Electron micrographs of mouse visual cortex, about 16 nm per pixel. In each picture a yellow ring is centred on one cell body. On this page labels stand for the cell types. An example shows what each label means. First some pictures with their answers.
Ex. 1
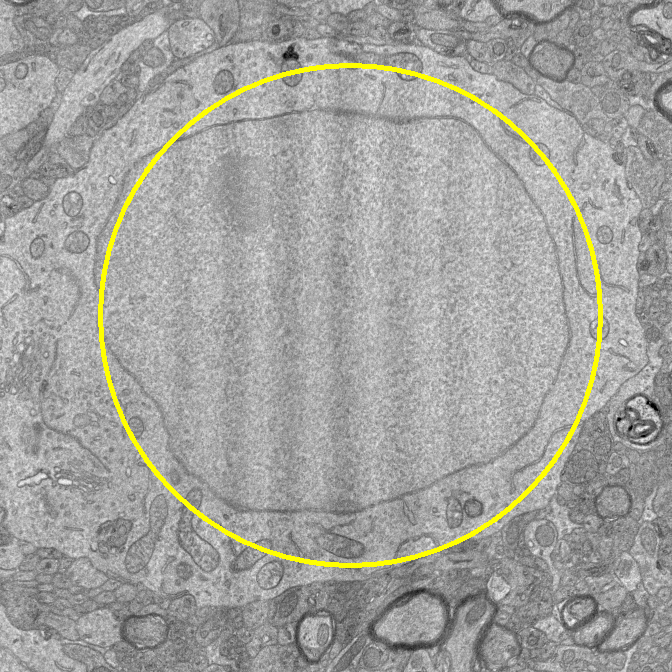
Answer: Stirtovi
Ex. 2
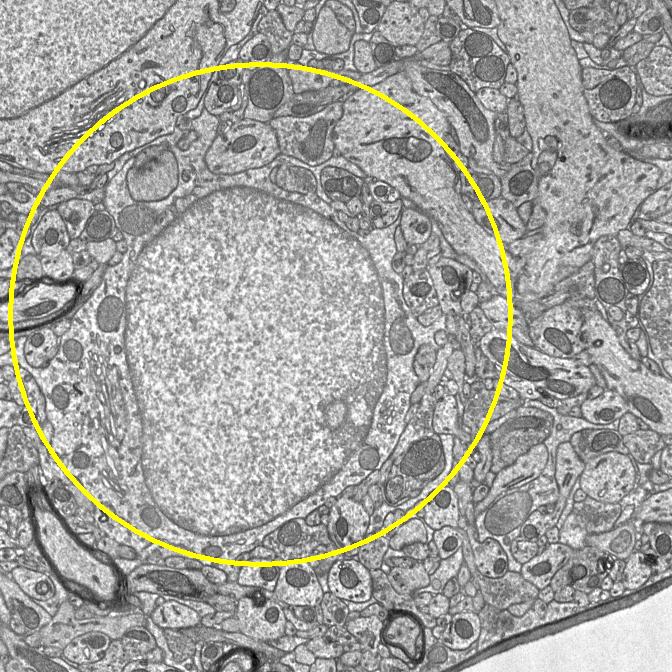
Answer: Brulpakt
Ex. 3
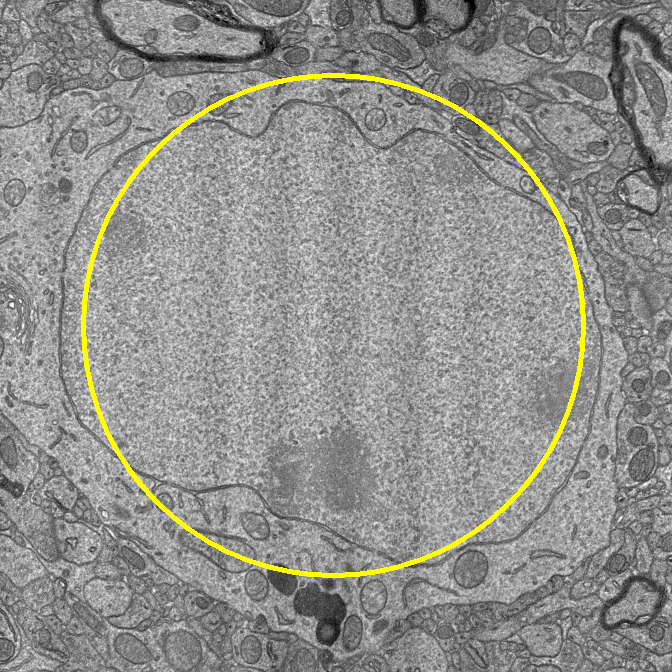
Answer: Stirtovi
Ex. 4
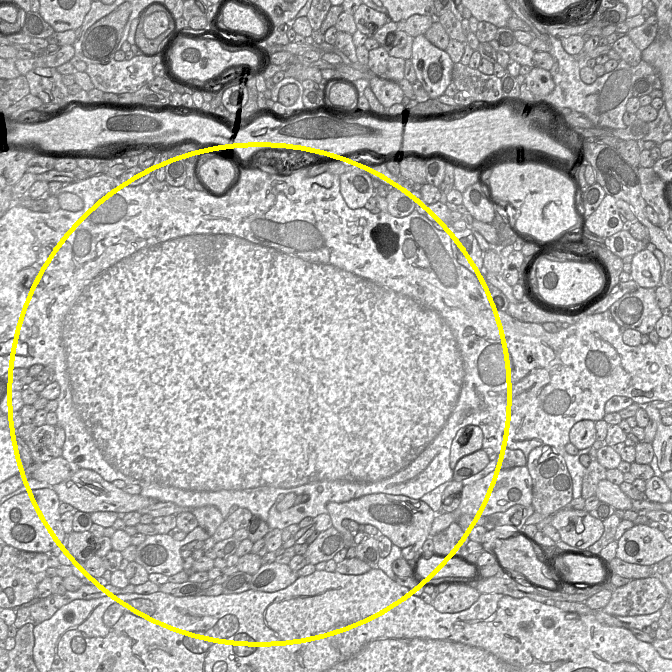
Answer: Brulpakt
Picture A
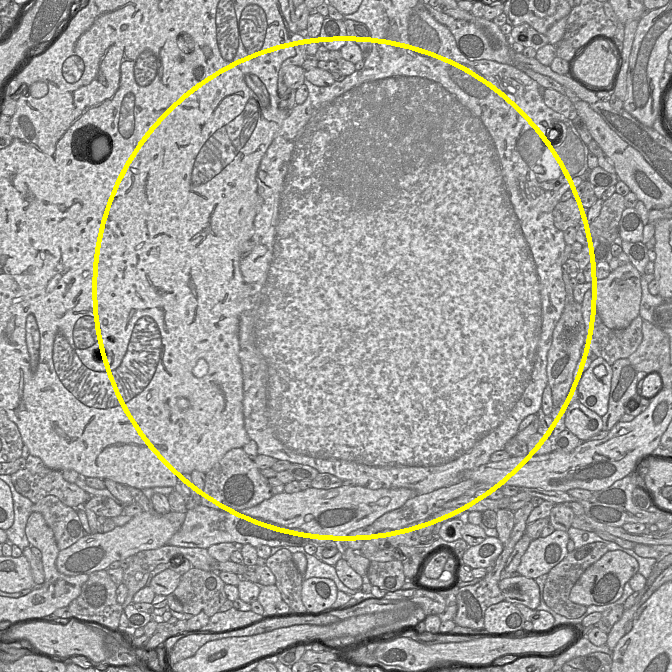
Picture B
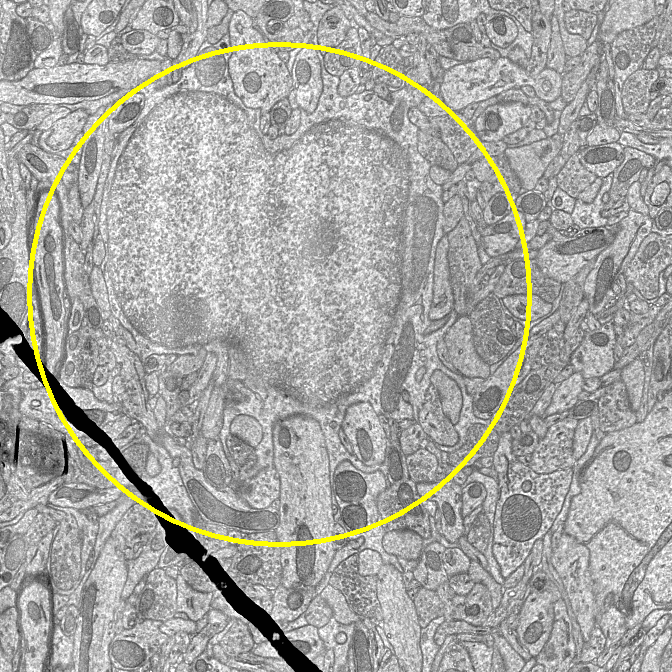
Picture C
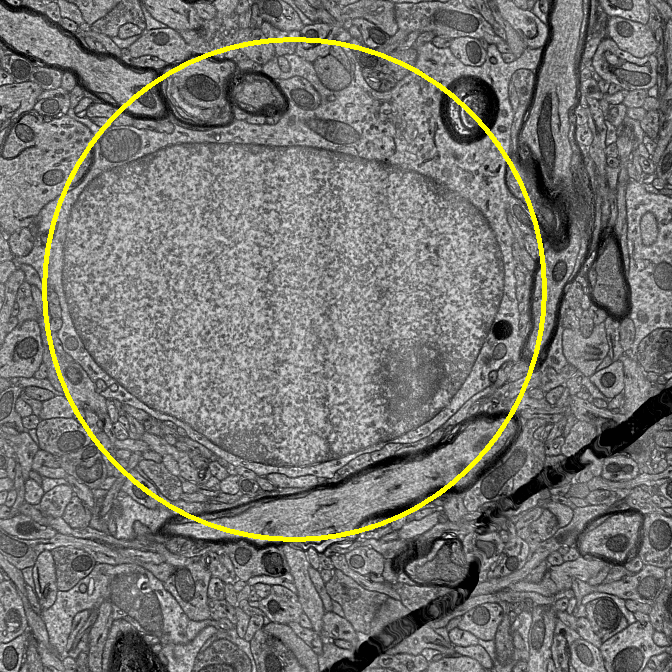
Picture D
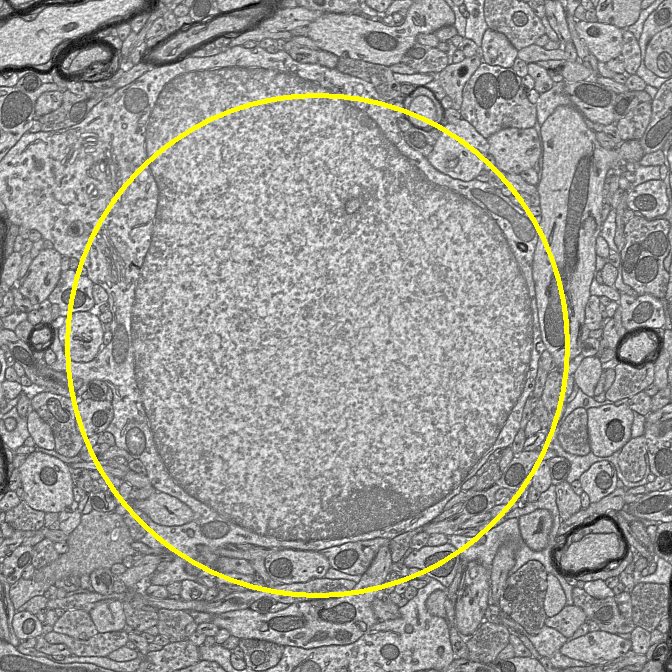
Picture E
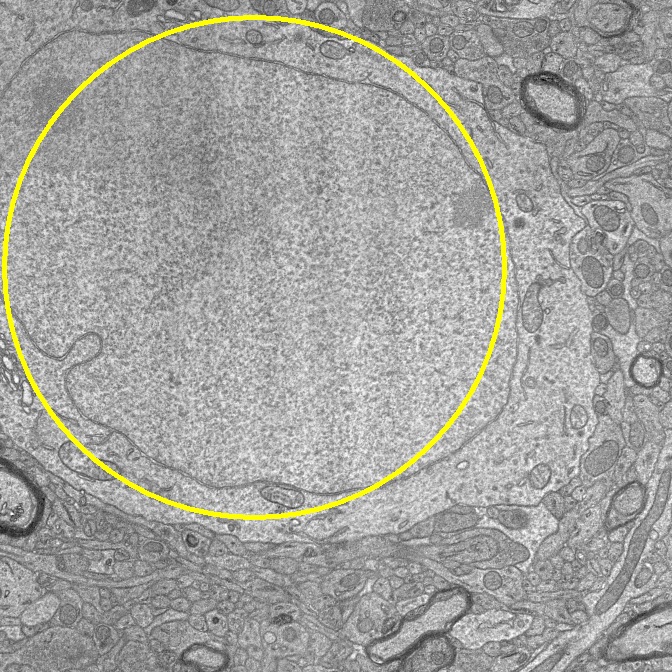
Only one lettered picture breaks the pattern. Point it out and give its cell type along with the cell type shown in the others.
Picture E: Stirtovi. All others: Brulpakt.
